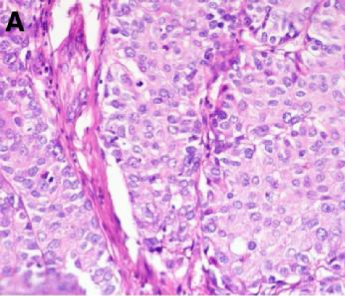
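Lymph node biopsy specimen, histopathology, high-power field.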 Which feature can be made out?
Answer: Solid nests and lobules of tumor cells.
